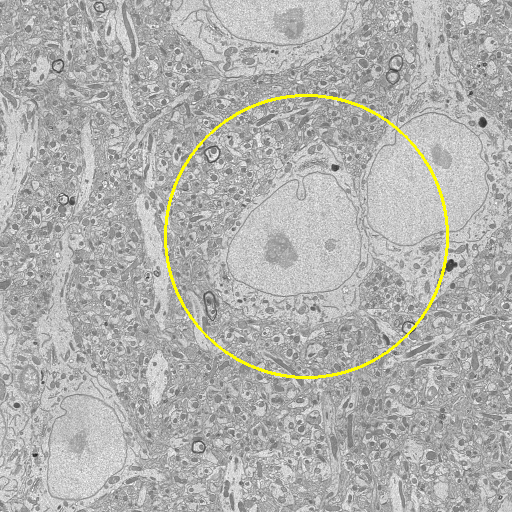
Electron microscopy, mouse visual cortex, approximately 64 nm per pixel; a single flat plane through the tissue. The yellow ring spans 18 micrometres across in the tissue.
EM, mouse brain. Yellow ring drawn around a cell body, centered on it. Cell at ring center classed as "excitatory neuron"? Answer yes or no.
yes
